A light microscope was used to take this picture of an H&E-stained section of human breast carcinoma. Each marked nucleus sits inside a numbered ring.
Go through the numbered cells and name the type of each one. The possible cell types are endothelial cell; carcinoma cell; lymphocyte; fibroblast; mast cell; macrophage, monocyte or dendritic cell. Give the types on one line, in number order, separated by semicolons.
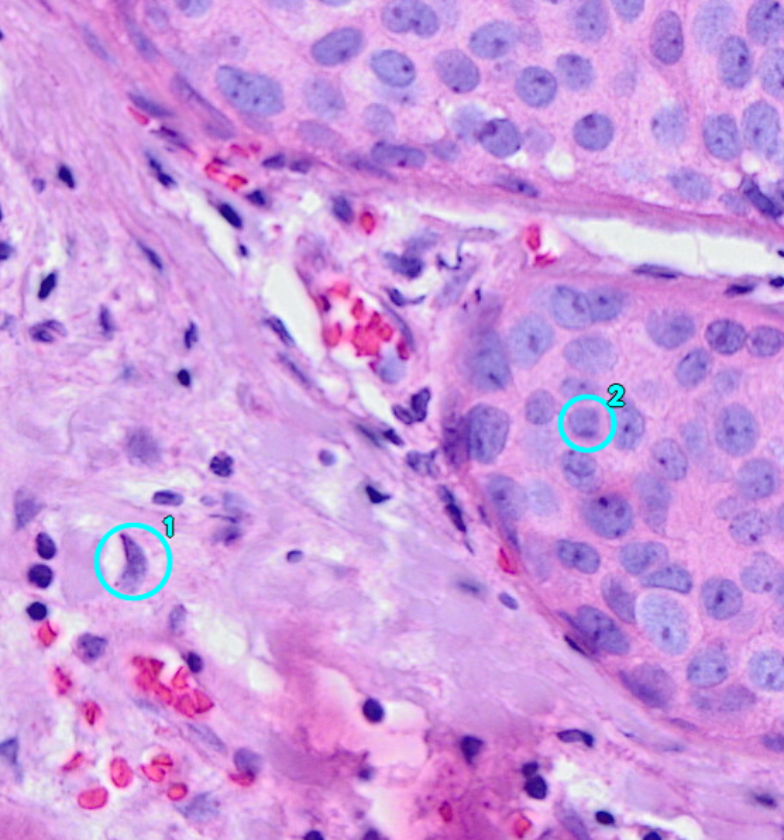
fibroblast; carcinoma cell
